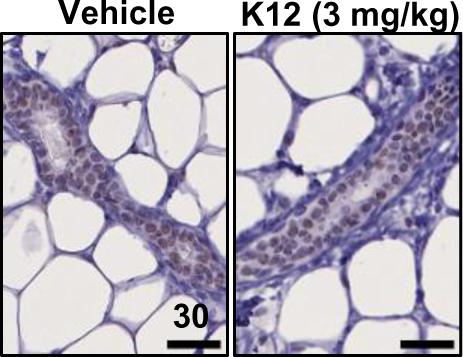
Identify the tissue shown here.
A: Mammary gland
